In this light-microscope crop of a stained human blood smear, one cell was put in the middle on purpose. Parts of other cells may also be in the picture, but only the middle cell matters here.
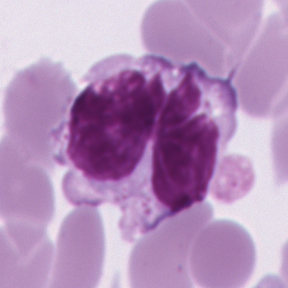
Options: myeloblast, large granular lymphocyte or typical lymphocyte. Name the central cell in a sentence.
The cell marked by its central position in the crop is a large granular lymphocyte.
